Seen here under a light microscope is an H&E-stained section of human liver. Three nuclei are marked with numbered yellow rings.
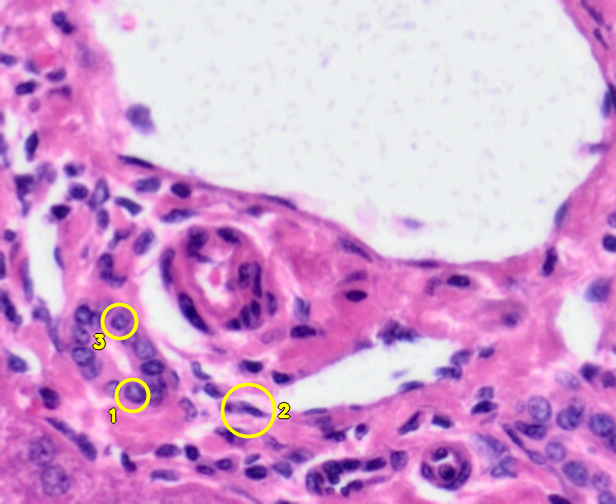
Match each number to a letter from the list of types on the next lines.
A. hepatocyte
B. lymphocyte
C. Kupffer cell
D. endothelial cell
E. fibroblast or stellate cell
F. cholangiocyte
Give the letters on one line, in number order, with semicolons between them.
F; E; F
